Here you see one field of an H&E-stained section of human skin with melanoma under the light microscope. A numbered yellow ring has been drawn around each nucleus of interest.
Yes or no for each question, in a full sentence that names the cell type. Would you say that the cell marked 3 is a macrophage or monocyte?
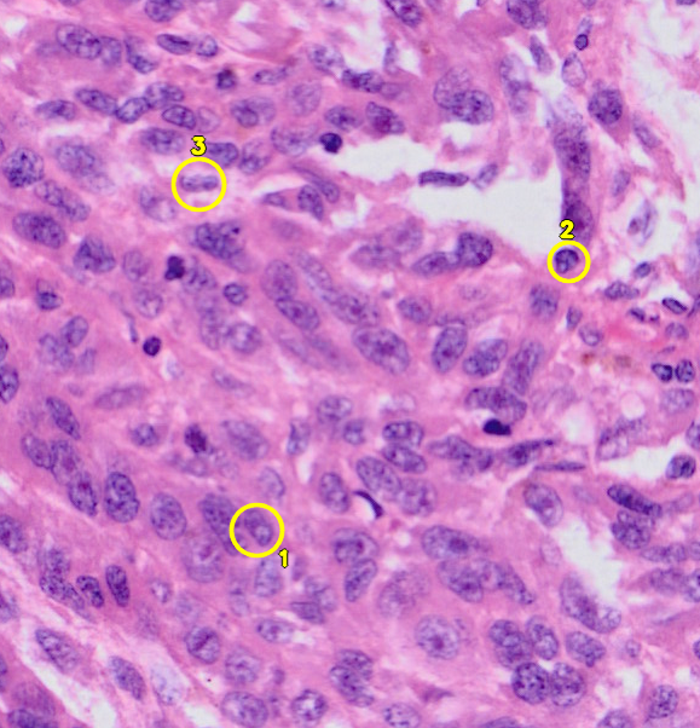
Yes, number 3 corresponds to a macrophage or monocyte.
